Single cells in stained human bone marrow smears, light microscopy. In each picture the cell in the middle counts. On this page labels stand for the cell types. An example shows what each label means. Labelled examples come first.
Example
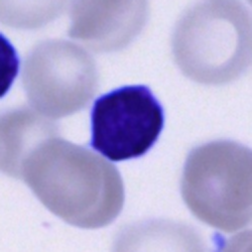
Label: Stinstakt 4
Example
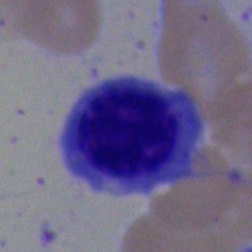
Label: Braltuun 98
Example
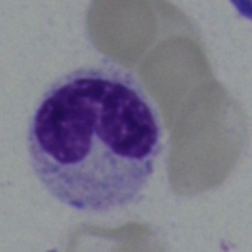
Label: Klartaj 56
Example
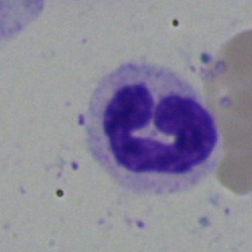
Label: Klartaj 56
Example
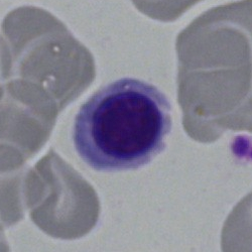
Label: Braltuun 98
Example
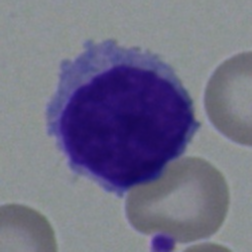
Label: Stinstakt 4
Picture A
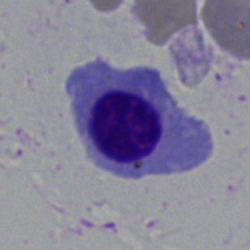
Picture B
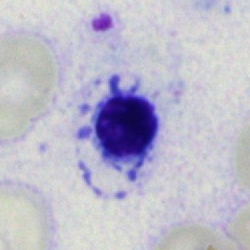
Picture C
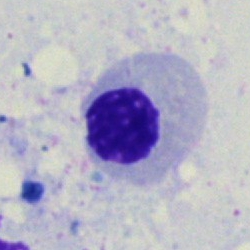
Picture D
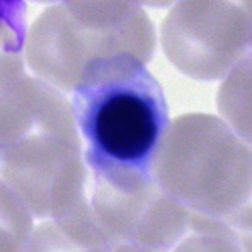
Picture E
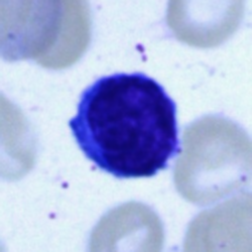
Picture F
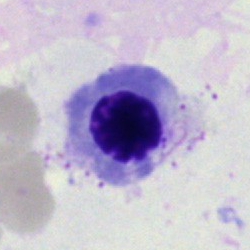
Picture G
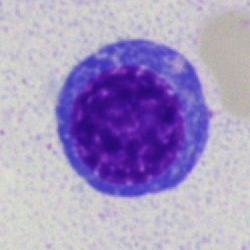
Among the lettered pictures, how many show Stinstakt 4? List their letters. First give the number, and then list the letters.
1, namely E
